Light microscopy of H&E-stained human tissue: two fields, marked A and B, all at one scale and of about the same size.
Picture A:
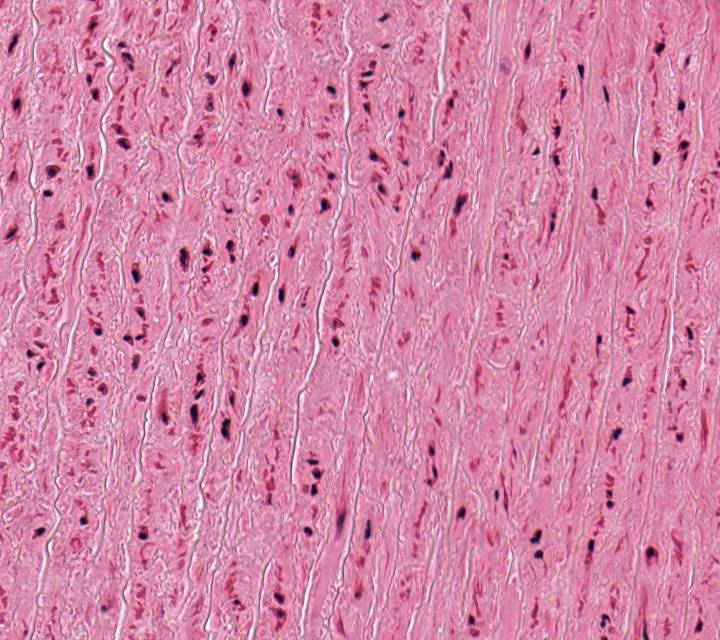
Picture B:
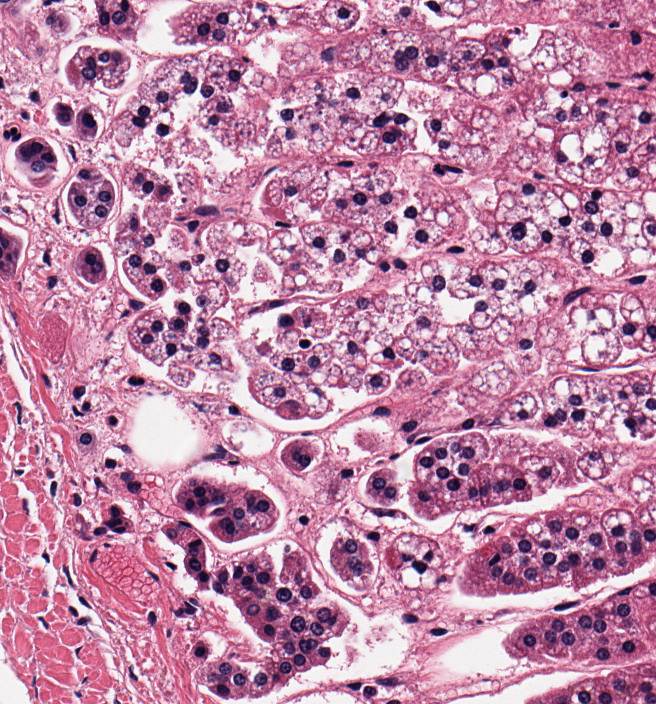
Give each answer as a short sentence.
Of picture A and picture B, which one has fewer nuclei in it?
Fewer nuclei lie in picture A than in picture B.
